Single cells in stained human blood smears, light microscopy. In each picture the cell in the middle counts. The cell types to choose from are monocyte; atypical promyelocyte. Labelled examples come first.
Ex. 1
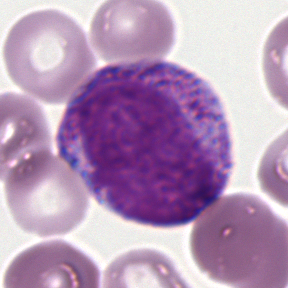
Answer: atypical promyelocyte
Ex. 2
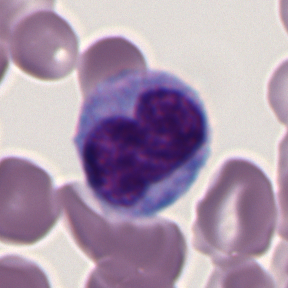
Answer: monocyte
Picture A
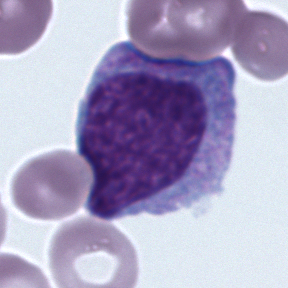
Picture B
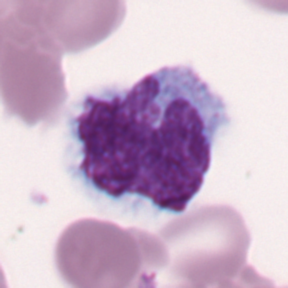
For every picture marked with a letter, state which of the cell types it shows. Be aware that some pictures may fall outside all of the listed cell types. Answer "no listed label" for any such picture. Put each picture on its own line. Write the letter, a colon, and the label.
A: atypical promyelocyte
B: monocyte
